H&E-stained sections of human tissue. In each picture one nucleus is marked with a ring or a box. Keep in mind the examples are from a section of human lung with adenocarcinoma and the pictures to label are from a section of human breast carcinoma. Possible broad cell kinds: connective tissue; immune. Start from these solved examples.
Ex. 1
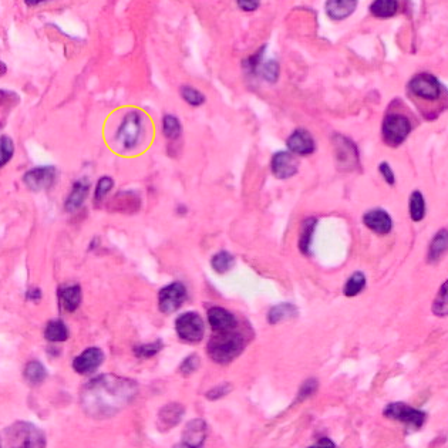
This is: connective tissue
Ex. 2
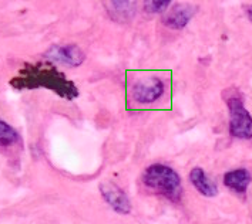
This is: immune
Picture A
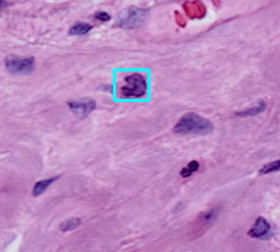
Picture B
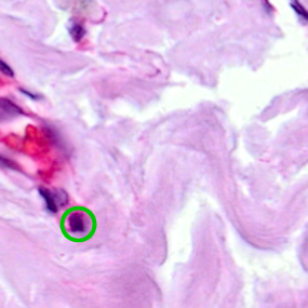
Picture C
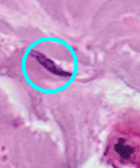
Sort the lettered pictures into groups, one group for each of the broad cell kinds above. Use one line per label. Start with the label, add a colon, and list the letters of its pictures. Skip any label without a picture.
connective tissue: C
immune: A, B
